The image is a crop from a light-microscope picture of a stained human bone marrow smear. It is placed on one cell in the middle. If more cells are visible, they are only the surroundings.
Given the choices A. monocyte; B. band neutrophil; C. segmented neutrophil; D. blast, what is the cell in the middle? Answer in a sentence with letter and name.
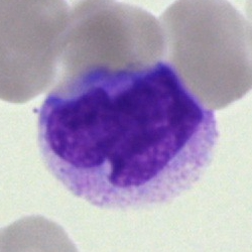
The one cell at the centre is a monocyte, as correctly stated in option A.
